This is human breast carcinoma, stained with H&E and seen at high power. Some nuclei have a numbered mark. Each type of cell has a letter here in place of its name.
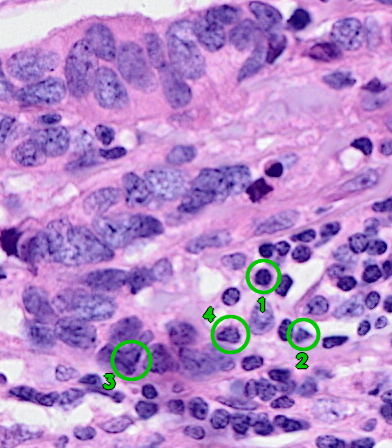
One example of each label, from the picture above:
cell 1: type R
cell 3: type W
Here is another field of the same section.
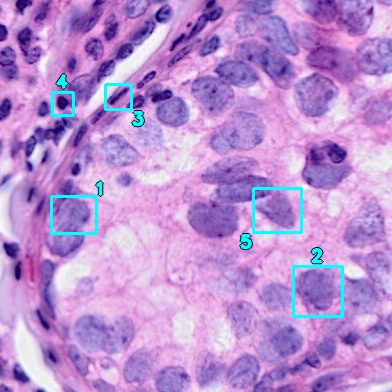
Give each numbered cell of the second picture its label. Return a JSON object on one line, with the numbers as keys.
{"1": "type W", "2": "type W", "3": "type R", "4": "type R", "5": "type W"}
